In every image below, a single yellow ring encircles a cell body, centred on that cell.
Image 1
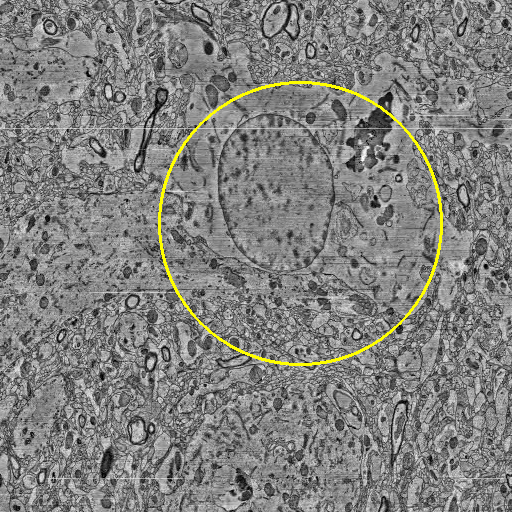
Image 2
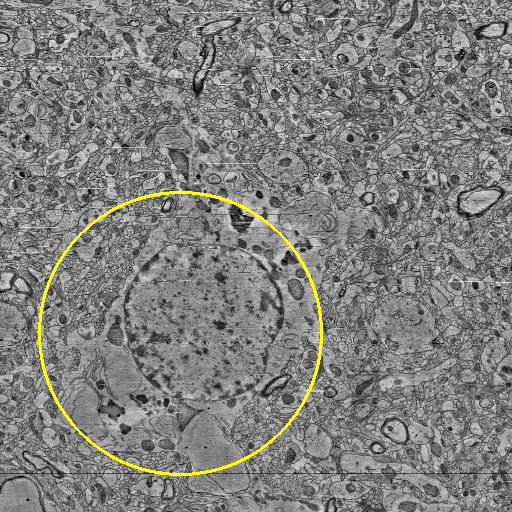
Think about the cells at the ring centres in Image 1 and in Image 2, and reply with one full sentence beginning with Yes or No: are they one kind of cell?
Yes, the cells centred in the rings of Image 1 and Image 2 are one kind of cell.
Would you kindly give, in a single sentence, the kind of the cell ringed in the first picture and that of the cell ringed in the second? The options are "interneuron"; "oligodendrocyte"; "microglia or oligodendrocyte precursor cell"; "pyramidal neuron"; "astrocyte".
In each picture the ringed cell is an astrocyte.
